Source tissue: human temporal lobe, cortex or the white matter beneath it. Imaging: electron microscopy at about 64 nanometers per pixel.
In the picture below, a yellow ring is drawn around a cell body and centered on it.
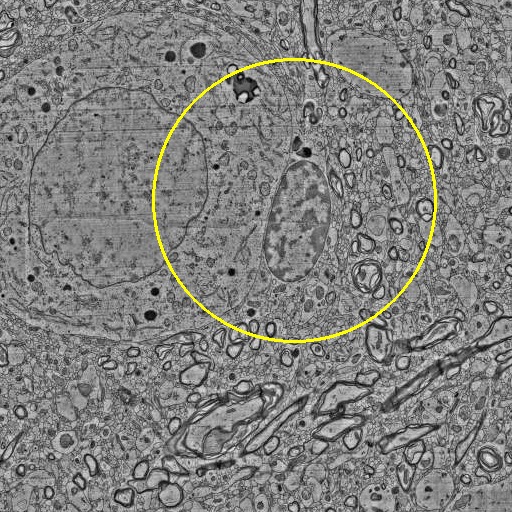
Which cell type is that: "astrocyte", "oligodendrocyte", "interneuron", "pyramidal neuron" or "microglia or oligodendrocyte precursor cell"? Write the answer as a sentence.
The cell centered in the ring is a microglial cell or oligodendrocyte precursor cell.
